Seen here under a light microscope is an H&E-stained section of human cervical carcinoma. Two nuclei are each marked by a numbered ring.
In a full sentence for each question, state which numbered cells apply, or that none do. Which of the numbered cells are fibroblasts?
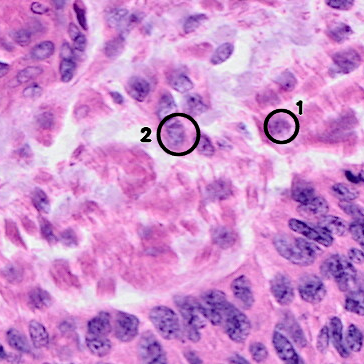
Of the numbered cells, only cell 1 is a fibroblast.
